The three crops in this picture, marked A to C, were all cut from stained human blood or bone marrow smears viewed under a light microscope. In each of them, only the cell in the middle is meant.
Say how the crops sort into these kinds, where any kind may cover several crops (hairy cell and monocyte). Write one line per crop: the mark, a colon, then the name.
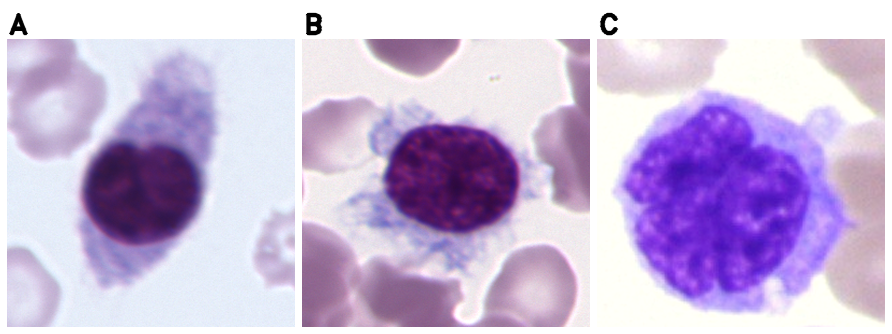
A: hairy cell
B: hairy cell
C: monocyte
